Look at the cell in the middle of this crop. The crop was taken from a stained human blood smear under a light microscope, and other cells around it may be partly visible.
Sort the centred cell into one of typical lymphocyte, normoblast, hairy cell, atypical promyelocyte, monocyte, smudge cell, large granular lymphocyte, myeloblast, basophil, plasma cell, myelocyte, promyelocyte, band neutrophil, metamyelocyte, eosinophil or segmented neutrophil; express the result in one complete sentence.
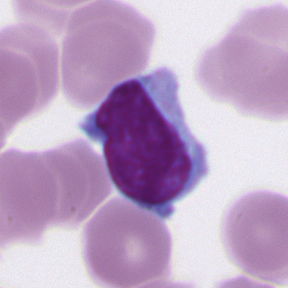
The cell centered in this field of view is a typical lymphocyte.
